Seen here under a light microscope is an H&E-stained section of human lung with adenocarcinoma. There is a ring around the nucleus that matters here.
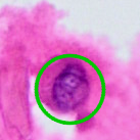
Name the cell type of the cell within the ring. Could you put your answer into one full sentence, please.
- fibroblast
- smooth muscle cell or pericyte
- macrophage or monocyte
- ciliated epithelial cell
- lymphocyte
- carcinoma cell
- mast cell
In cellular terms, the cell within the ring is a carcinoma cell.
